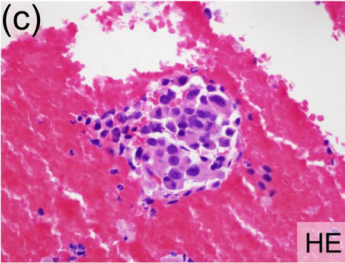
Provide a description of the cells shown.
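A cohesive cluster of enlarged cells lies in a sea of bright pink red blood cells, with a few small dark round cells scattered at its edge. The clustered cells have large, dark purple nuclei that differ from one another in size and shape, and a moderate amount of pale pinkish-purple cytoplasm. Their crowded arrangement and irregular nuclei set them apart from the surrounding blood, marking them as a cluster of cells with atypical nuclei.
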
